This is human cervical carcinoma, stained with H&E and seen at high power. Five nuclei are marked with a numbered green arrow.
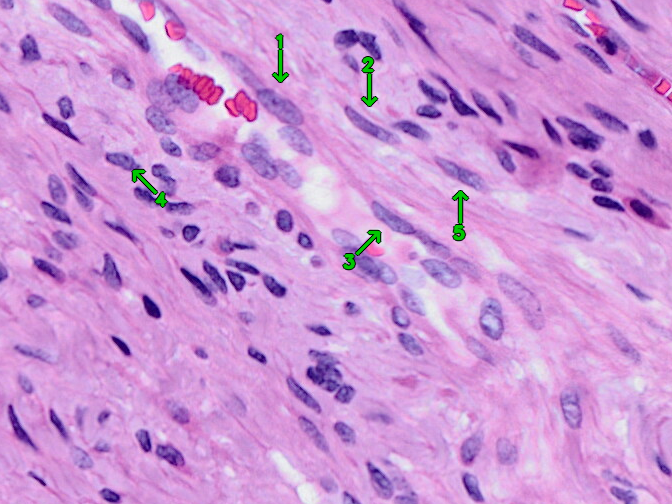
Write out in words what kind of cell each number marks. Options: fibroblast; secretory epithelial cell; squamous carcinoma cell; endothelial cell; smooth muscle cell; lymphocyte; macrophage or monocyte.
Cells 1 and 3 are endothelial cells. Cells 2 and 5 are smooth muscle cells. Cell 4 is a fibroblast.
